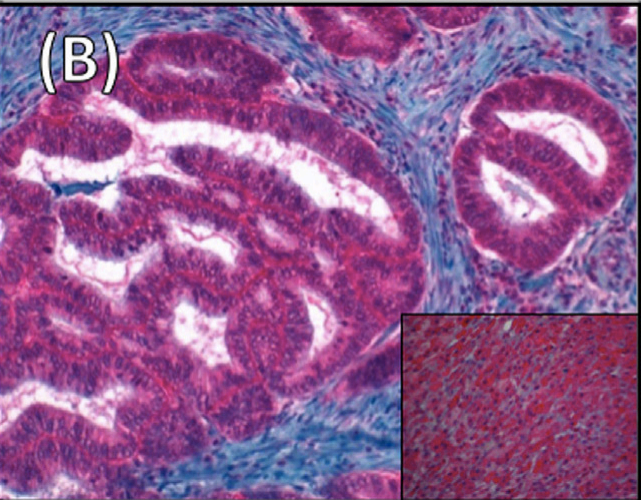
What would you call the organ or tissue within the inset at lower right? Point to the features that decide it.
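Corpus luteum. No glands are present in the inset.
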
